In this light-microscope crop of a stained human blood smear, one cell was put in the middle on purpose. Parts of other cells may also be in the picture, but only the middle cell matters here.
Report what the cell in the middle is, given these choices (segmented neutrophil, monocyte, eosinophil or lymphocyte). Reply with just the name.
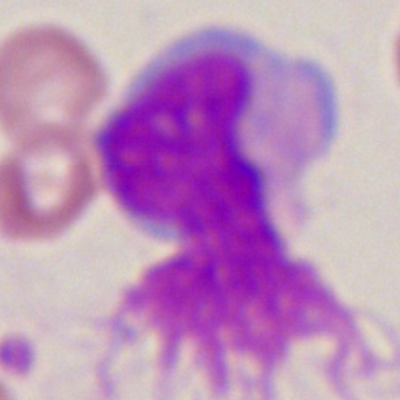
monocyte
